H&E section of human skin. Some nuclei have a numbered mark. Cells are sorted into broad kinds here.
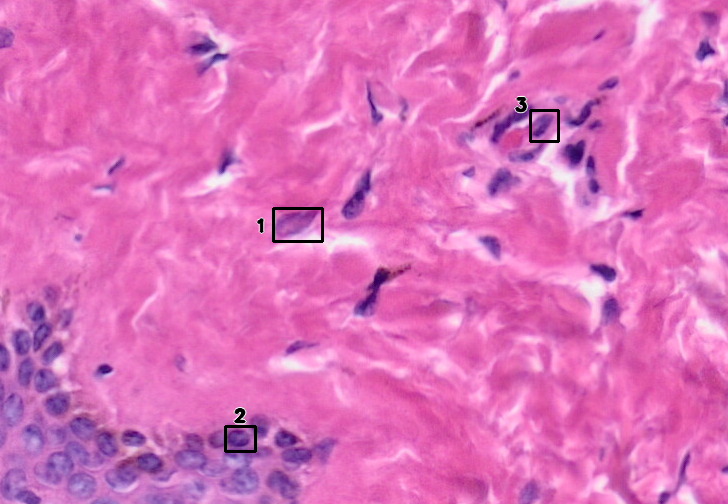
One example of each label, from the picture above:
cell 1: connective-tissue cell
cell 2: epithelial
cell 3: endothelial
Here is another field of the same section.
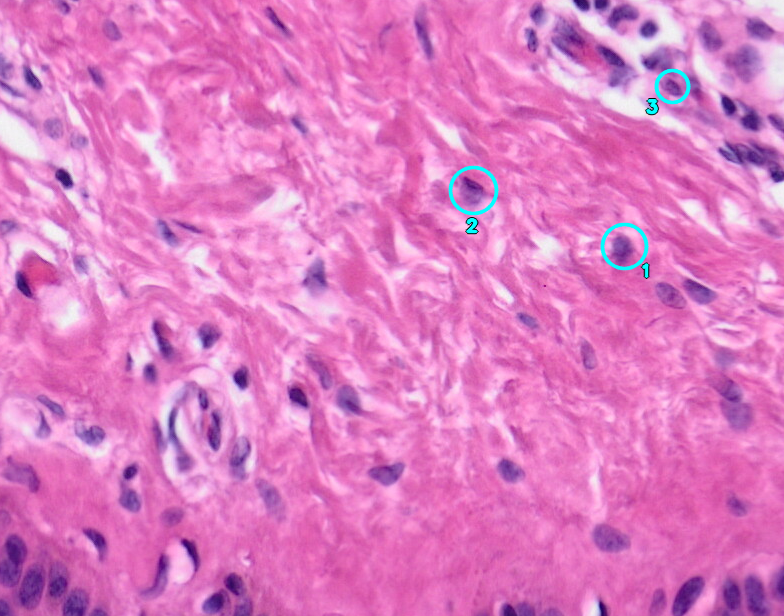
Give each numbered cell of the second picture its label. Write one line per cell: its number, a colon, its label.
1: connective-tissue cell
2: connective-tissue cell
3: endothelial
